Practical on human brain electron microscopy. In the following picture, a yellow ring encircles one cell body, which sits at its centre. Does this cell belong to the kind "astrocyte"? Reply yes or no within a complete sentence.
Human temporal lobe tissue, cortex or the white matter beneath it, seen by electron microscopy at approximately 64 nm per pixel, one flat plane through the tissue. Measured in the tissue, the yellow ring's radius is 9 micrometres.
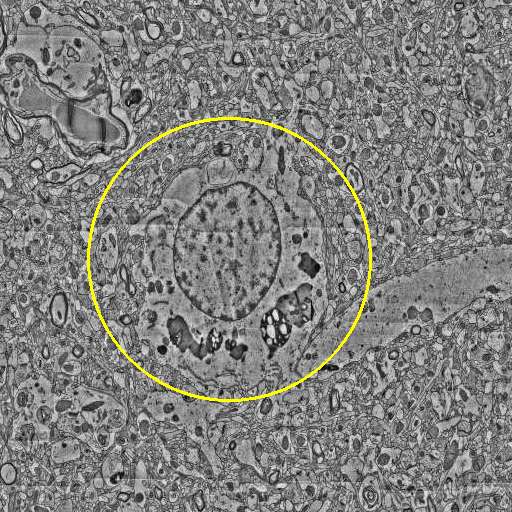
Yes, the one cell at the centre of the ring here is of that kind.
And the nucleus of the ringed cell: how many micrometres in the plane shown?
The nucleus works out at approximately 9 by 7 micrometres in this plane.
